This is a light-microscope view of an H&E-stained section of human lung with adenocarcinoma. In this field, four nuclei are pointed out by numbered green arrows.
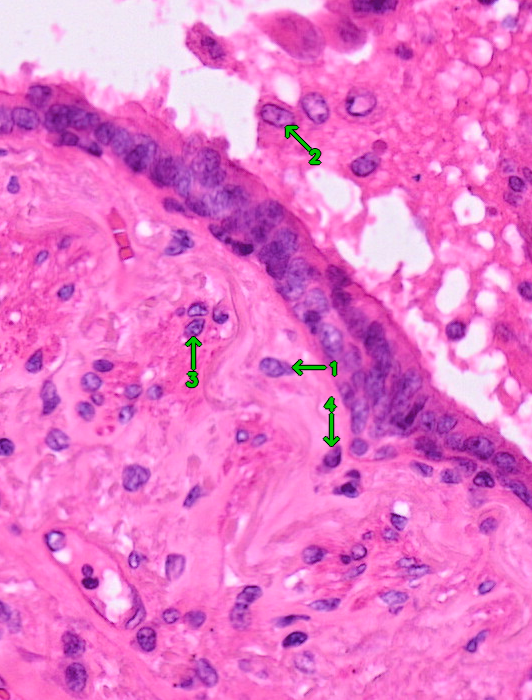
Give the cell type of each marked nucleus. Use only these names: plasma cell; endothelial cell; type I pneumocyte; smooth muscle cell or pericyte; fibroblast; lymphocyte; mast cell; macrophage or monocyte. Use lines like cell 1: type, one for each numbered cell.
cell 1: fibroblast
cell 2: macrophage or monocyte
cell 3: smooth muscle cell or pericyte
cell 4: plasma cell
